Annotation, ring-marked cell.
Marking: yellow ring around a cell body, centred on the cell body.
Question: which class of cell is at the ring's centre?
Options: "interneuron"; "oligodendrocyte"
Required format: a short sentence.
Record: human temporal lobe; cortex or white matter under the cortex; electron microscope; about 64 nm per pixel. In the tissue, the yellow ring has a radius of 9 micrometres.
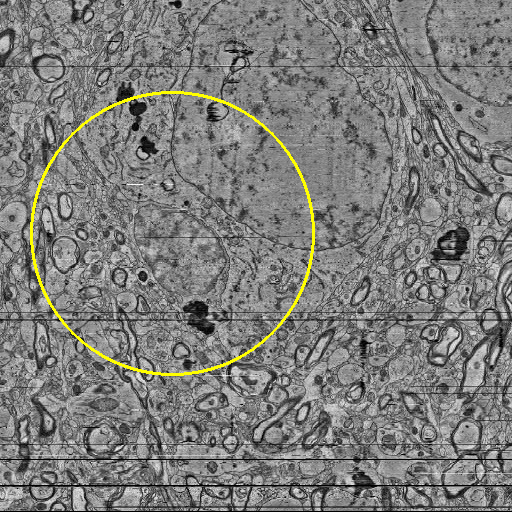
At the ring's centre is an oligodendrocyte.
